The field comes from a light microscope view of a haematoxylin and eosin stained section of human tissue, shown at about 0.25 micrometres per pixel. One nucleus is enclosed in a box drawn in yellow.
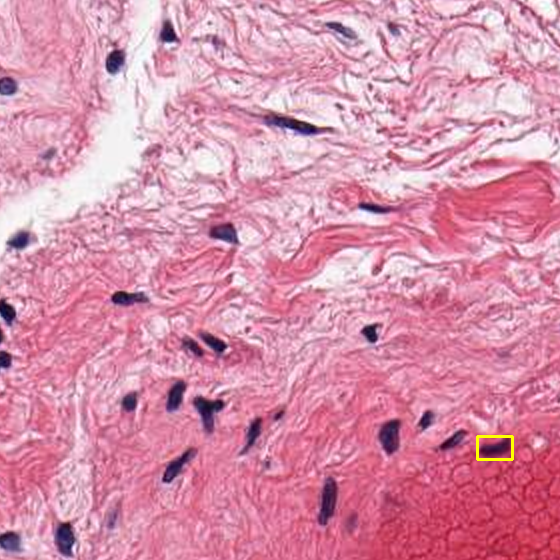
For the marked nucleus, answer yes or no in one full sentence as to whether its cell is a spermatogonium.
No, the cell to which the marked nucleus belongs is a supporting cell rather than a spermatogonium.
